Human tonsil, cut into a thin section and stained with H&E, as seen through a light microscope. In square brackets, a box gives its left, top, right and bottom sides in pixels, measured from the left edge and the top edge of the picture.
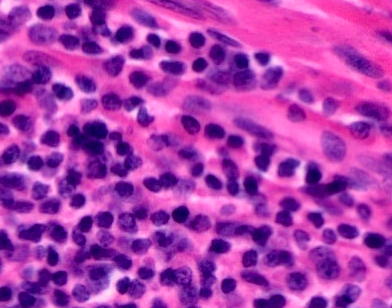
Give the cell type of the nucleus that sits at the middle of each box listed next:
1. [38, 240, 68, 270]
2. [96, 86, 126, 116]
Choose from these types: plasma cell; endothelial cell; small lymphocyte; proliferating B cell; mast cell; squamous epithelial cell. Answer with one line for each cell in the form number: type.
1: small lymphocyte
2: plasma cell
